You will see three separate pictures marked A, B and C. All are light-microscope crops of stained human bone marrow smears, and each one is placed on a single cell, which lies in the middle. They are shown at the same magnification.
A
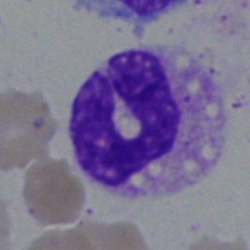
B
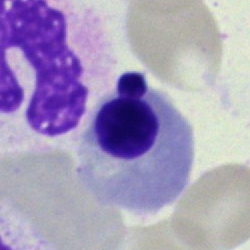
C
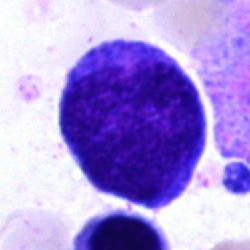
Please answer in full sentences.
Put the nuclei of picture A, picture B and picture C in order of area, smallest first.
Going up, they run B, A, C.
